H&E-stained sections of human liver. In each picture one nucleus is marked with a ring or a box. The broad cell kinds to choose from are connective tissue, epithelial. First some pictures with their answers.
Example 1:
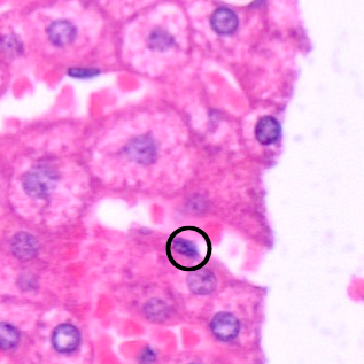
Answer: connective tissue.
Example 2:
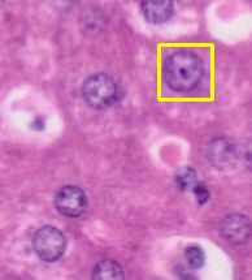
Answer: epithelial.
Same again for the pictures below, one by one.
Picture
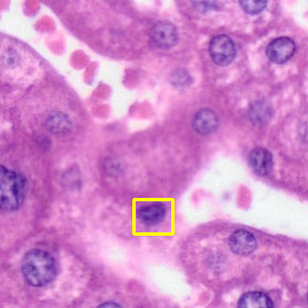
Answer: connective tissue.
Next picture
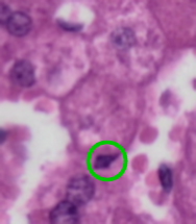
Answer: connective tissue.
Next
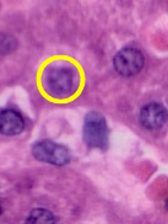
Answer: epithelial.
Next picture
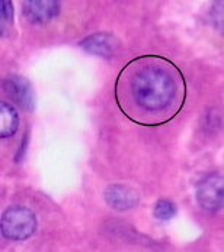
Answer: epithelial.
